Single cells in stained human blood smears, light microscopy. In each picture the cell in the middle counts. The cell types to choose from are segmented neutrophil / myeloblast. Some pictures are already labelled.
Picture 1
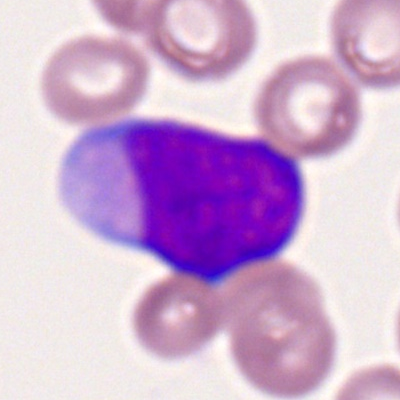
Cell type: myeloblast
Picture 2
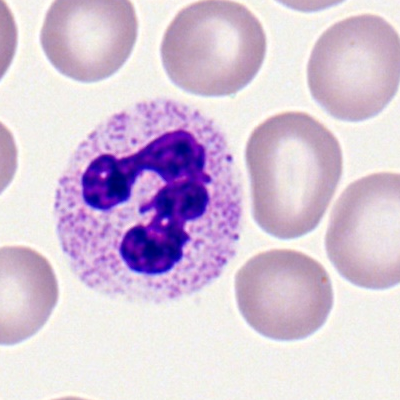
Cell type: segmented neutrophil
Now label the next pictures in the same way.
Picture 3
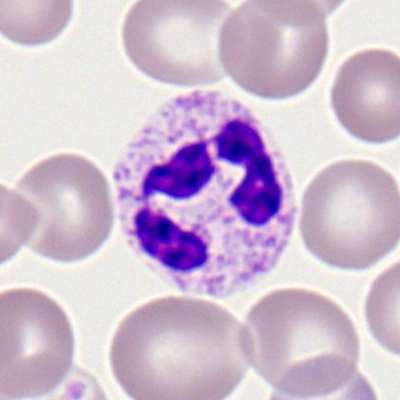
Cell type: segmented neutrophil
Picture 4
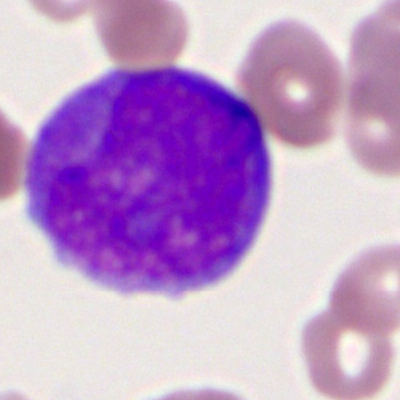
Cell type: myeloblast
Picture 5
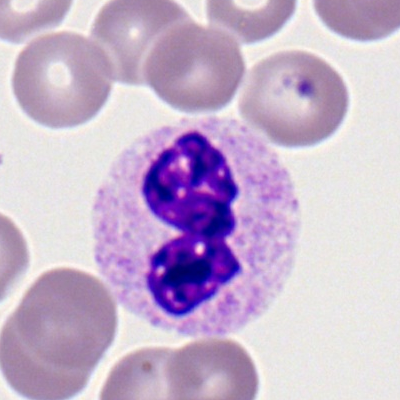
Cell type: segmented neutrophil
